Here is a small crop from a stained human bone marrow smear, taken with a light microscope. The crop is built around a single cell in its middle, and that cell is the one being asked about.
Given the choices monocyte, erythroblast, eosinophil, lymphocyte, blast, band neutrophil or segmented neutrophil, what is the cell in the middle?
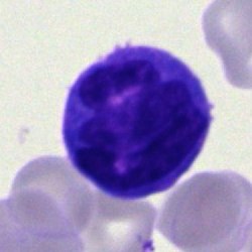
monocyte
